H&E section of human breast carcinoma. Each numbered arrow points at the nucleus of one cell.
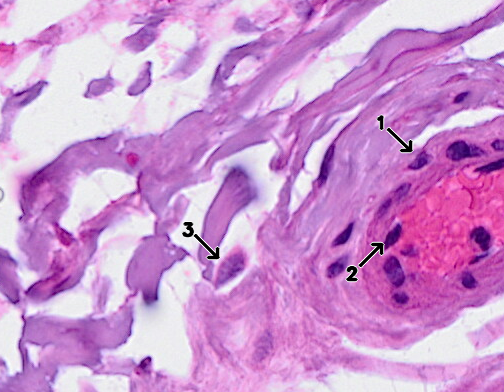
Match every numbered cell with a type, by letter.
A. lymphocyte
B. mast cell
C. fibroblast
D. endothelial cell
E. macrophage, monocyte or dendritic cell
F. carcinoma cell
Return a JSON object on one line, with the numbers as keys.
{"1": "C", "2": "D", "3": "C"}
